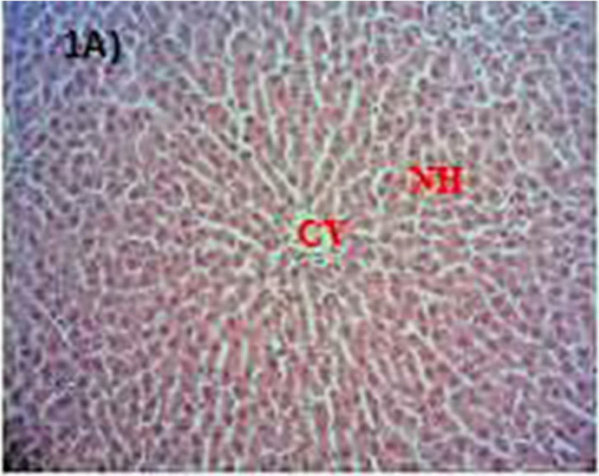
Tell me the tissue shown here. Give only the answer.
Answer: liver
